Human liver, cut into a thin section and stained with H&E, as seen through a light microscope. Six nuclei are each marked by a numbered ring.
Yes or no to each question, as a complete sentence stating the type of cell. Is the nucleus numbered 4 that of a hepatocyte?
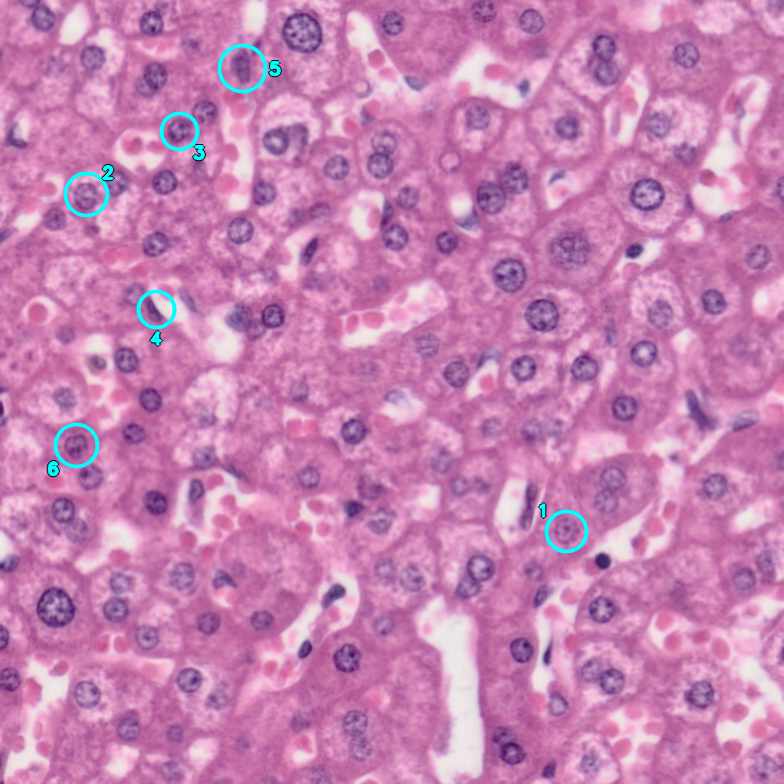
No, not a hepatocyte: the cell with number 4 is an endothelial cell.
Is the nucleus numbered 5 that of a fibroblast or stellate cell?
Yes, that is correct: the cell numbered 5 is a fibroblast or stellate cell.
